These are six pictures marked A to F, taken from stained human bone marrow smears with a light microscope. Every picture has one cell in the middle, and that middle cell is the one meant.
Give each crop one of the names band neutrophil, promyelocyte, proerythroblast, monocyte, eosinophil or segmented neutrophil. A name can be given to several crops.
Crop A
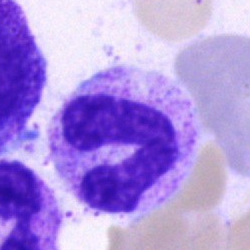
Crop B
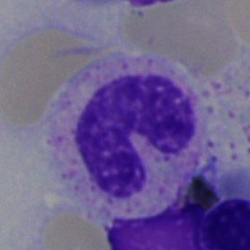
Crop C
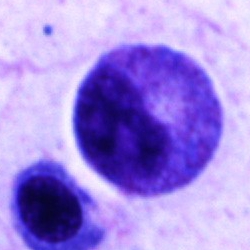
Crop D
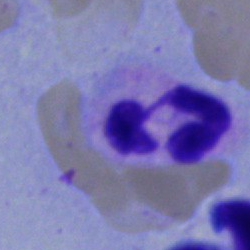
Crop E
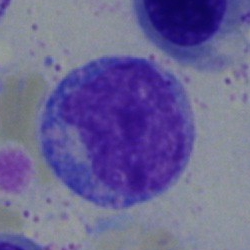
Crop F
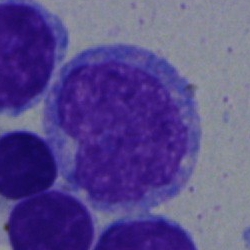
A: band neutrophil
B: band neutrophil
C: promyelocyte
D: segmented neutrophil
E: monocyte
F: monocyte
